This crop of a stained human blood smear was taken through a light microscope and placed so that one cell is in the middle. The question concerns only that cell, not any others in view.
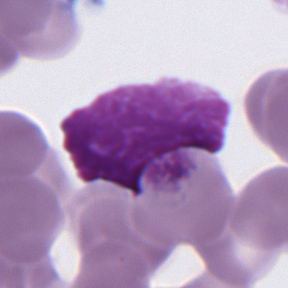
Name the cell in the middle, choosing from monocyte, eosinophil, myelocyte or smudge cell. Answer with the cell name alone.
smudge cell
